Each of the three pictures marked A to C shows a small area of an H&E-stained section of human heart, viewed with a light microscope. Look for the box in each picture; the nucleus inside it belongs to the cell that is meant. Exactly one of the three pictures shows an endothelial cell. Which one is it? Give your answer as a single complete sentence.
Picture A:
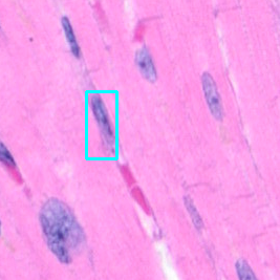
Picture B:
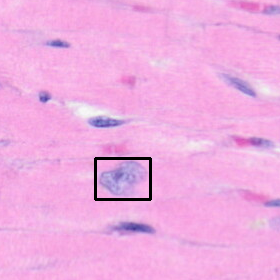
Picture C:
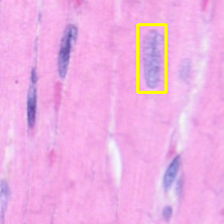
It is picture A that shows the endothelial cell.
